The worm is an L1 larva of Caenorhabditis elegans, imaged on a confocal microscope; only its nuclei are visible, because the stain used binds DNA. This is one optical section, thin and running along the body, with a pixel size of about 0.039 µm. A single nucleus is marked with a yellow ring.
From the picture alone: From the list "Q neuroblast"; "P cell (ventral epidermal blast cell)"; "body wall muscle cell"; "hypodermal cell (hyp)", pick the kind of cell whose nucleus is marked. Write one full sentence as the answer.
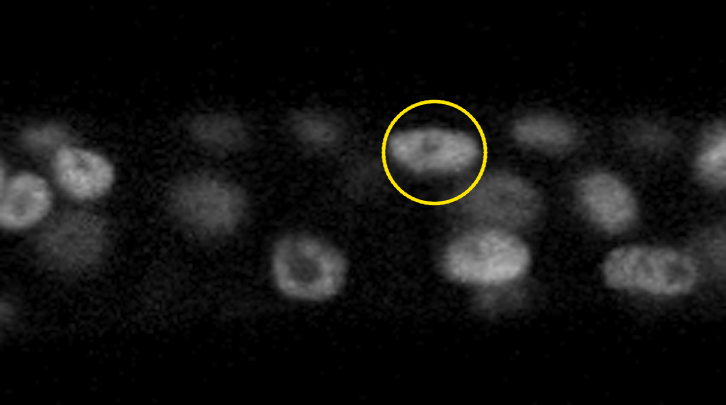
The marked nucleus is that of a body wall muscle cell.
